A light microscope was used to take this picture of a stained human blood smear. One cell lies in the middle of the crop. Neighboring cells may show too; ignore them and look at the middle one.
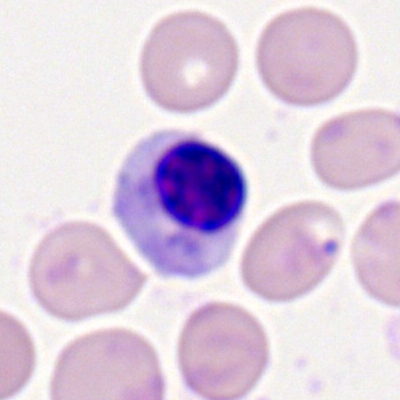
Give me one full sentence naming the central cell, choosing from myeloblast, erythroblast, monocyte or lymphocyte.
Positioned in the middle of the crop is an erythroblast.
